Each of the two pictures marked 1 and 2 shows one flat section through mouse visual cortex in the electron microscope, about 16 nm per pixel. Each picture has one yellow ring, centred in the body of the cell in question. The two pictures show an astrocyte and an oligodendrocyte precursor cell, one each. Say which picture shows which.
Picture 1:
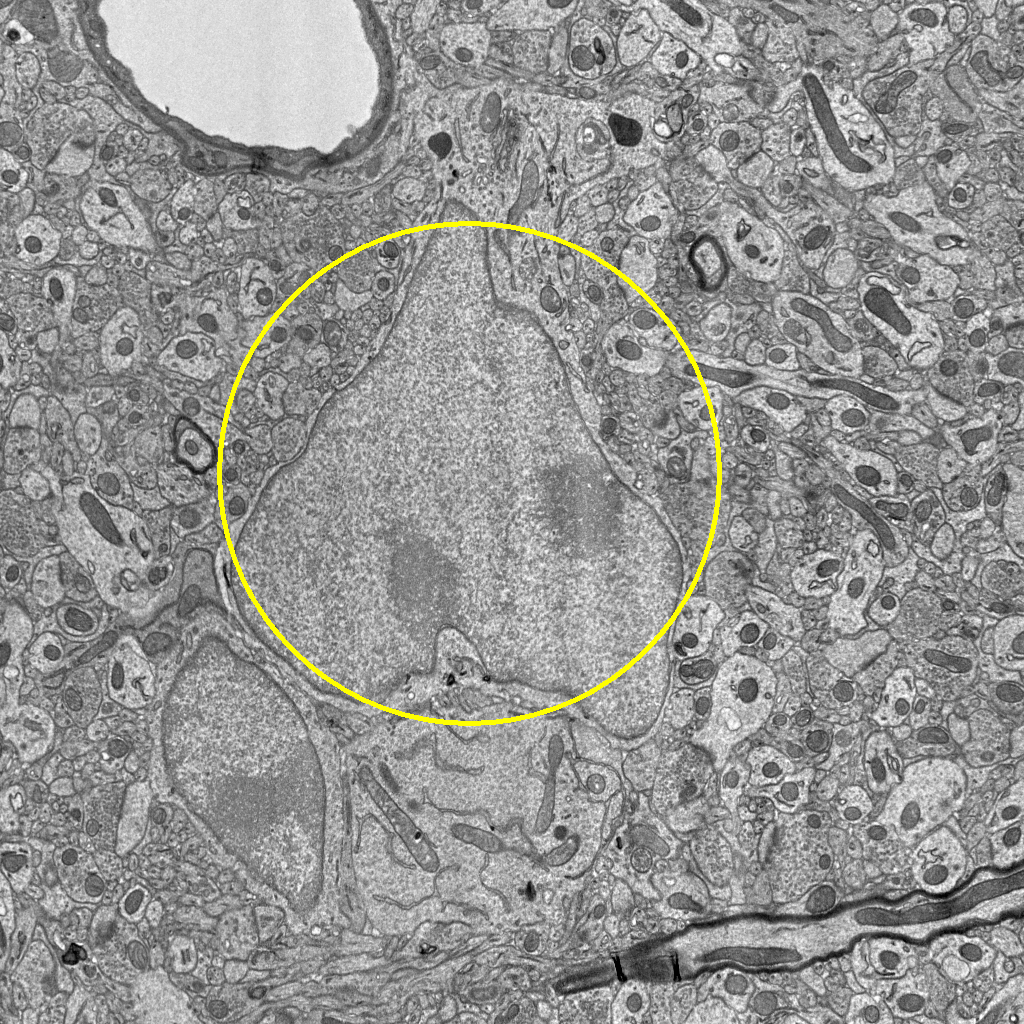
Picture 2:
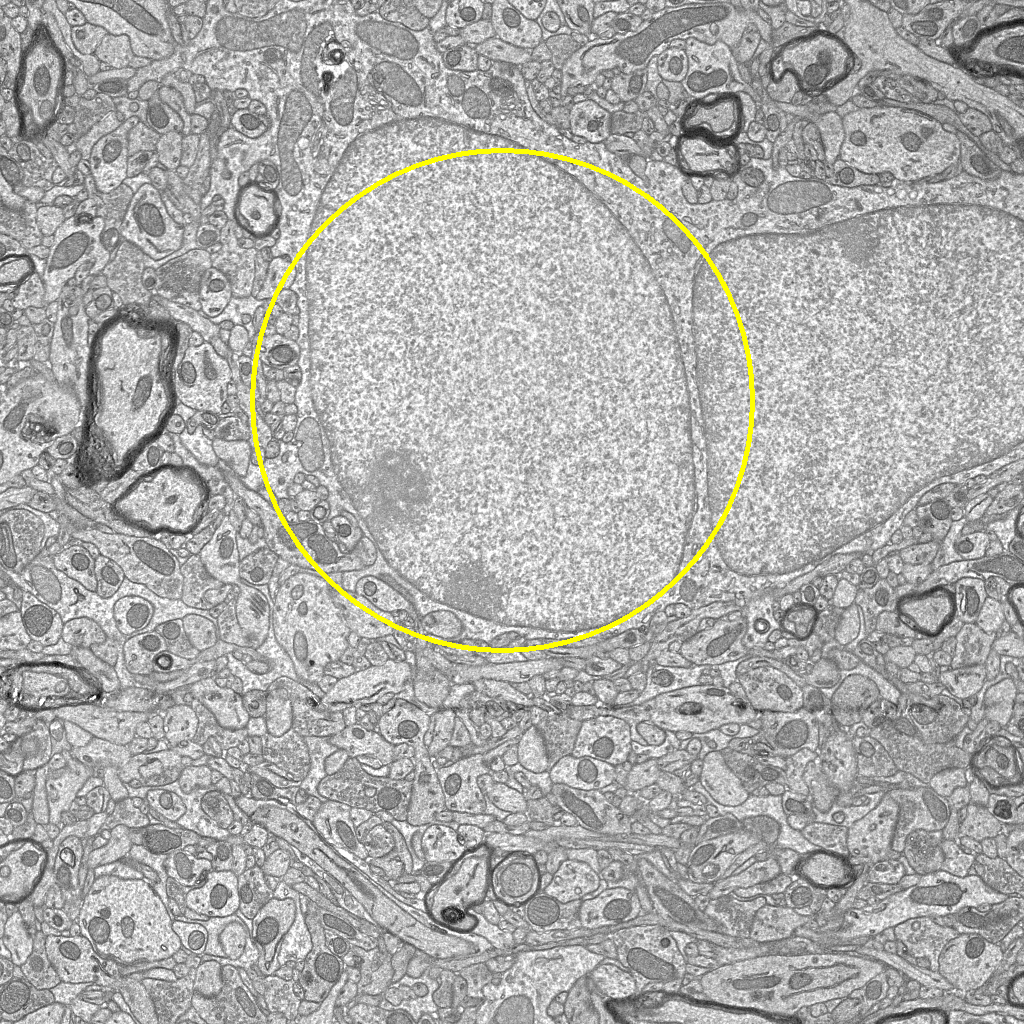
Picture 1 shows an oligodendrocyte precursor cell and picture 2 shows an astrocyte.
